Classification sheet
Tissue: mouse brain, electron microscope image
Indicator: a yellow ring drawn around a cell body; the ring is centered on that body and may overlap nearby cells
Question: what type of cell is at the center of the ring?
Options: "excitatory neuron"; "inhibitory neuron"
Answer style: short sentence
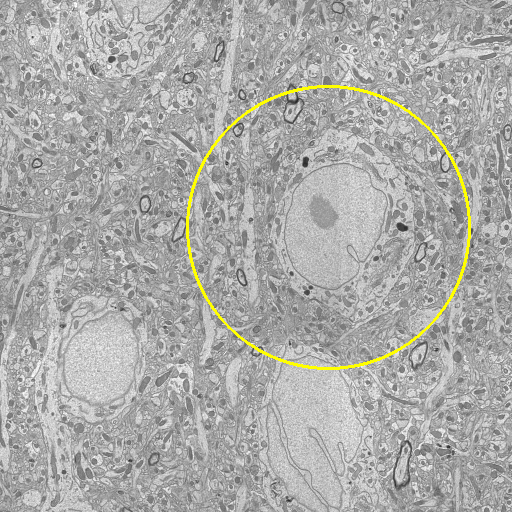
At the ring's center is an excitatory neuron.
